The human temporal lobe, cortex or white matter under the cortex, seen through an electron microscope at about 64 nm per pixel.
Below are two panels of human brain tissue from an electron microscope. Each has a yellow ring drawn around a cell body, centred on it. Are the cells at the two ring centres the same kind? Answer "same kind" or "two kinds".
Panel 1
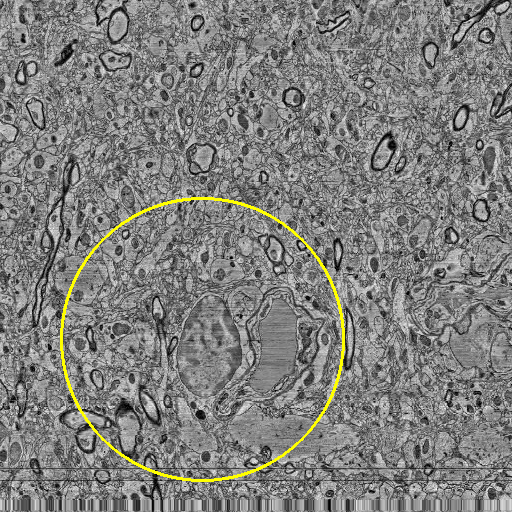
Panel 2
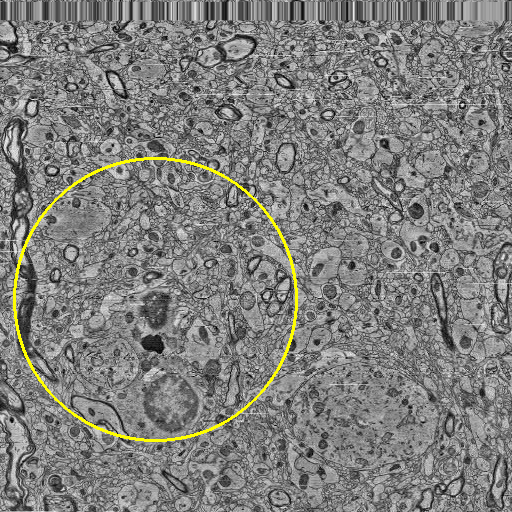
two kinds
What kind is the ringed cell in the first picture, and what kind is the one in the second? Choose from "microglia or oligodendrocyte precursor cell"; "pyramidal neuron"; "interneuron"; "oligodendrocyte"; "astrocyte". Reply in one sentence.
The first cell is a microglial cell or oligodendrocyte precursor cell; the second is an oligodendrocyte.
